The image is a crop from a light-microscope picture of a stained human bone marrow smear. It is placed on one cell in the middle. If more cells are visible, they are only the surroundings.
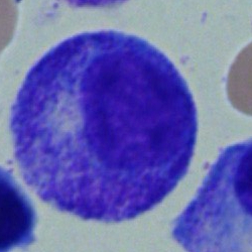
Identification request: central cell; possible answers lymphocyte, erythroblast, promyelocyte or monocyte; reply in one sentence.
In the middle of this smear crop is a promyelocyte.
